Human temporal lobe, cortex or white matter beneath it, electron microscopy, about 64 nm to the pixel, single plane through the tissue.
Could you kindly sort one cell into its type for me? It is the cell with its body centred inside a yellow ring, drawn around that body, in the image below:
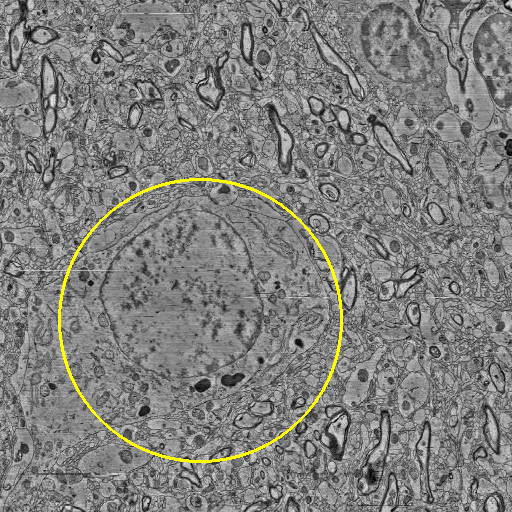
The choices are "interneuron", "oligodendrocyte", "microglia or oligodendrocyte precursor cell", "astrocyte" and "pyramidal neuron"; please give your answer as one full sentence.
The cell whose body lies centred in the yellow ring here is an interneuron.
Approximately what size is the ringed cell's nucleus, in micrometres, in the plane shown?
Approximately 11 micrometers across in this plane.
